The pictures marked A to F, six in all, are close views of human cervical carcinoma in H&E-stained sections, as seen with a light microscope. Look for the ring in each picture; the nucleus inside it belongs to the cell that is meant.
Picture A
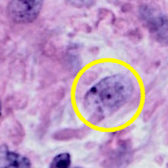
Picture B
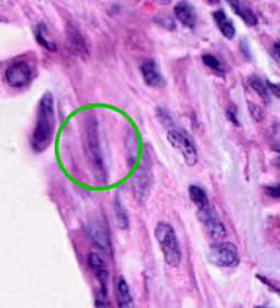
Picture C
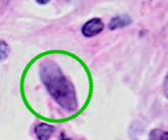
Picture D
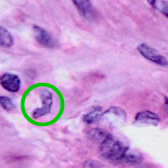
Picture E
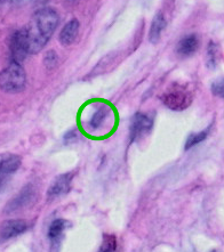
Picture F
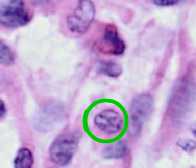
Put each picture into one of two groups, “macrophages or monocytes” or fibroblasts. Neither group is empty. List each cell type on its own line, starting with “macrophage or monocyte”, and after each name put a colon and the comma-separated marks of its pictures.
macrophage or monocyte: C, D, F
fibroblast: A, B, E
